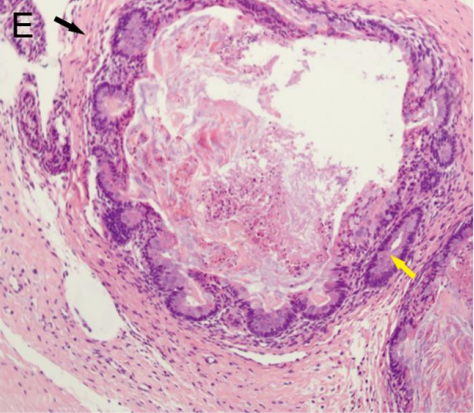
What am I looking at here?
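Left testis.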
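A rounded space filled with pink debris is lined by tall columnar epithelium that folds into crypt-like pockets, with pale vacuolated cells scattered among the darker-nuclei lining cells. Pink fibrous and smooth-muscle-like stroma surrounds the lining. This is intestinal-type glandular epithelium, an intestinal gland, within the mass.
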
